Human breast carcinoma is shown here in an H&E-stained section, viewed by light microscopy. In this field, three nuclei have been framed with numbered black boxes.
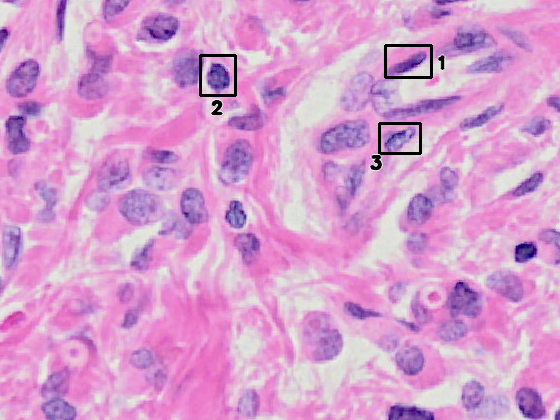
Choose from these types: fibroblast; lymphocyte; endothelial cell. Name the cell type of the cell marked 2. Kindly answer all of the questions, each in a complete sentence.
Identified by the number 2, the cell is a lymphocyte.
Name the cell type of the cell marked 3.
Marked with the number 3, this cell is an endothelial cell.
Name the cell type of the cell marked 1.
Corresponding to an endothelial cell is the cell labelled 1.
